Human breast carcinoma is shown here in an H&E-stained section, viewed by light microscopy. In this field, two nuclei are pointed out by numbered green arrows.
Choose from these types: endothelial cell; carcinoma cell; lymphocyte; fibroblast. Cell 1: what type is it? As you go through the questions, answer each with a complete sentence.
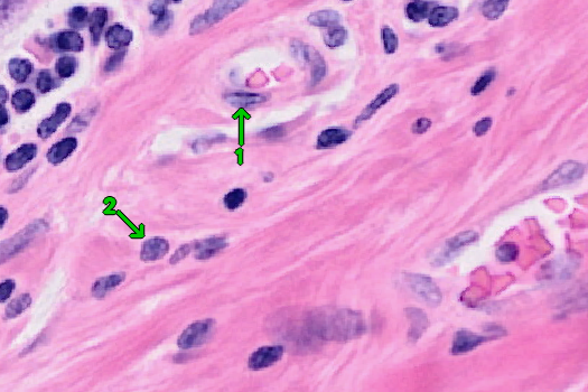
The expected answer is that cell 1 is an endothelial cell.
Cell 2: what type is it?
Classified as a lymphocyte is the cell with the number 2.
